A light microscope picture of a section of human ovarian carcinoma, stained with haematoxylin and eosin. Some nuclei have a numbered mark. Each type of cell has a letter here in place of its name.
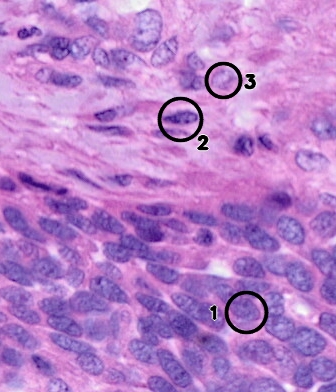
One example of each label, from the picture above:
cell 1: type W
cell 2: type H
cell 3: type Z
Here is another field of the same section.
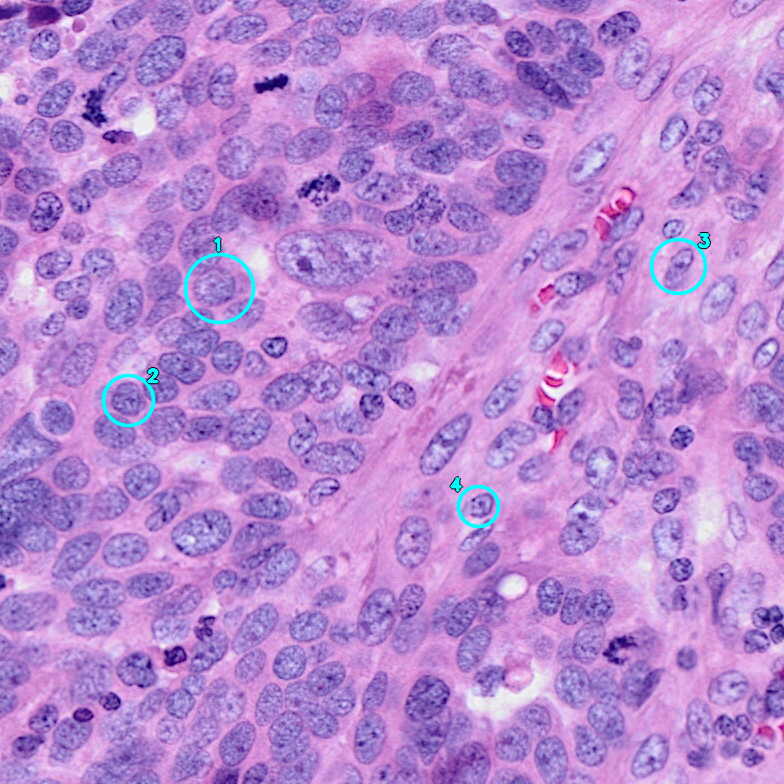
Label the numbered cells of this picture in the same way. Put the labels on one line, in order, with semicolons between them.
type W; type W; type Z; type H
